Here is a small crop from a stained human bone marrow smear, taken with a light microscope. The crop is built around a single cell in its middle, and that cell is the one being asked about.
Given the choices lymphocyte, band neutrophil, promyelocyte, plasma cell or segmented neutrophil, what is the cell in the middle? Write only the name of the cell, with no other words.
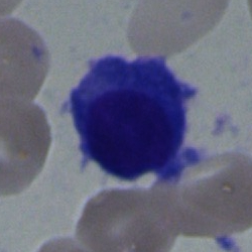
plasma cell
